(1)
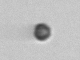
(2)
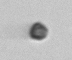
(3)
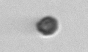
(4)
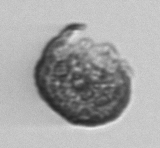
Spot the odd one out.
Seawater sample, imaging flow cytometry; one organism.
Picture 4 (Umbilicosphaera sibogae among Gephyrocapsa huxleyi).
